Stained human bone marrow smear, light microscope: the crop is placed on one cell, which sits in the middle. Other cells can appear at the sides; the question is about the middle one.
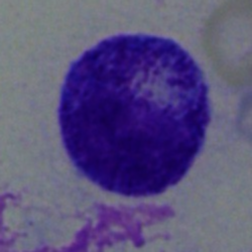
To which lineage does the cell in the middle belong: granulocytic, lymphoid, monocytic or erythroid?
granulocytic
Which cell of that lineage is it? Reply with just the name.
promyelocyte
